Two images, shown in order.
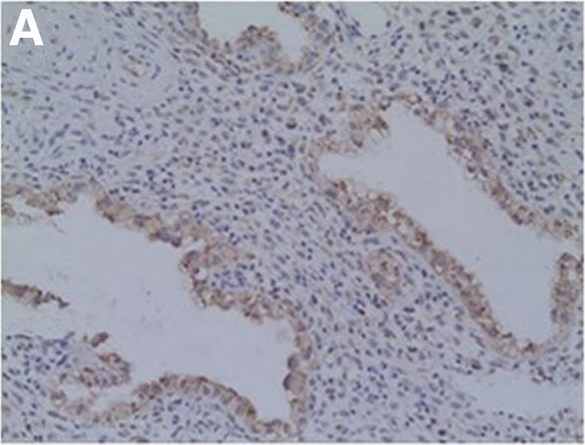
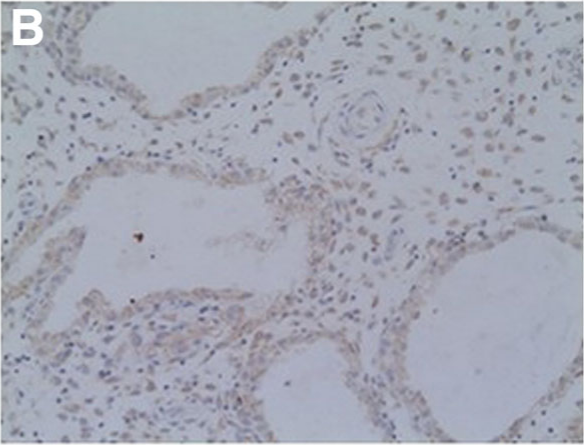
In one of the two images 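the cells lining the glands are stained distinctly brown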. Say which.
the first image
